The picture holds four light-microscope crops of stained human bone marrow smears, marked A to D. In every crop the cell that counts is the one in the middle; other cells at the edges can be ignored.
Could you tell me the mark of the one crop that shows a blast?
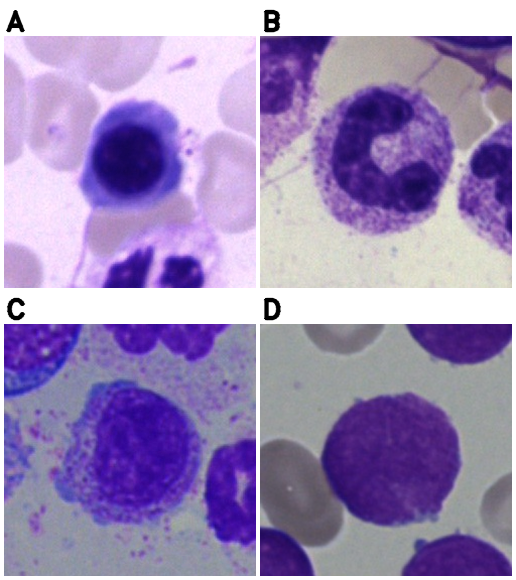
D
